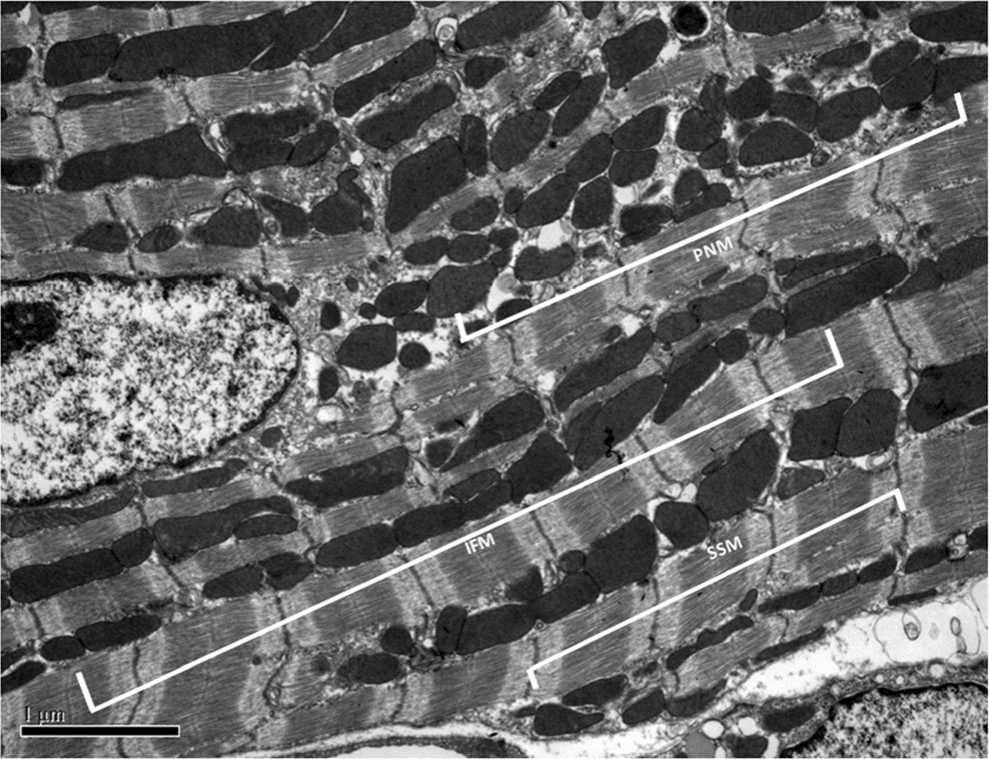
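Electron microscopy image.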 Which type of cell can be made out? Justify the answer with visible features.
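Myofibrils with repeating cross-striated sarcomeres bounded by dark Z-lines. Very numerous large electron-dense mitochondria in rows between the myofibrils. An oval nucleus with a cluster of mitochondria at its pole.
Cardiomyocyte.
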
